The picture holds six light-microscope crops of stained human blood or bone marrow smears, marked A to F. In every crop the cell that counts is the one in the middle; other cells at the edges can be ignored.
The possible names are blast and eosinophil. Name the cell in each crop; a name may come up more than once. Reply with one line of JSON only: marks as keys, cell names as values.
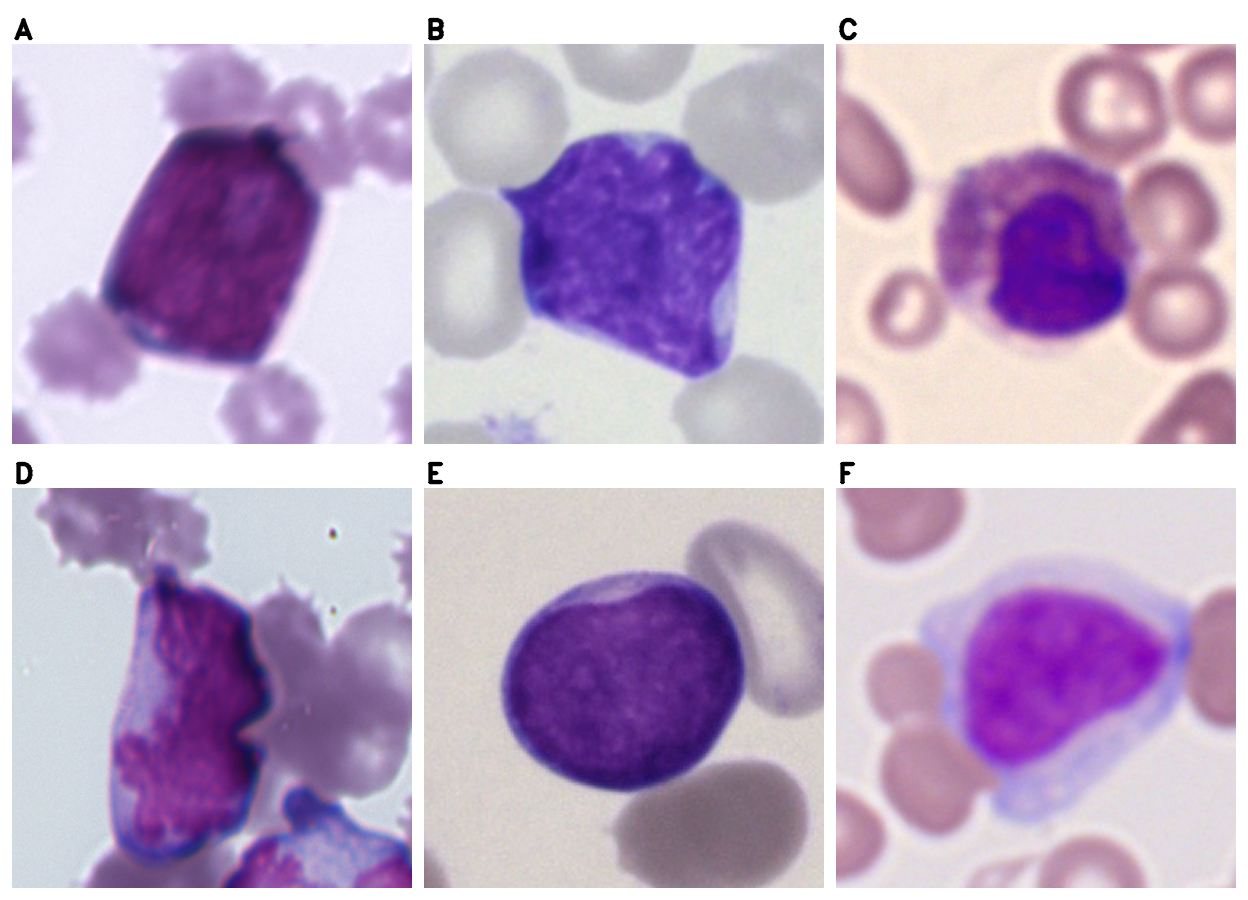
{"A": "blast", "B": "blast", "C": "eosinophil", "D": "blast", "E": "blast", "F": "blast"}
